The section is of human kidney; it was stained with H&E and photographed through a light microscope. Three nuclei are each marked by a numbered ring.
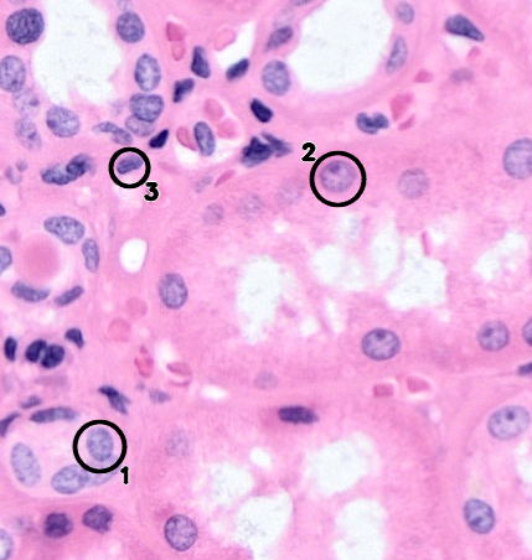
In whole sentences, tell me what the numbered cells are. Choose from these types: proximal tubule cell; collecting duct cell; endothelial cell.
Cell 1 is a collecting duct cell. Cell 2 is a proximal tubule cell. Cell 3 is an endothelial cell.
